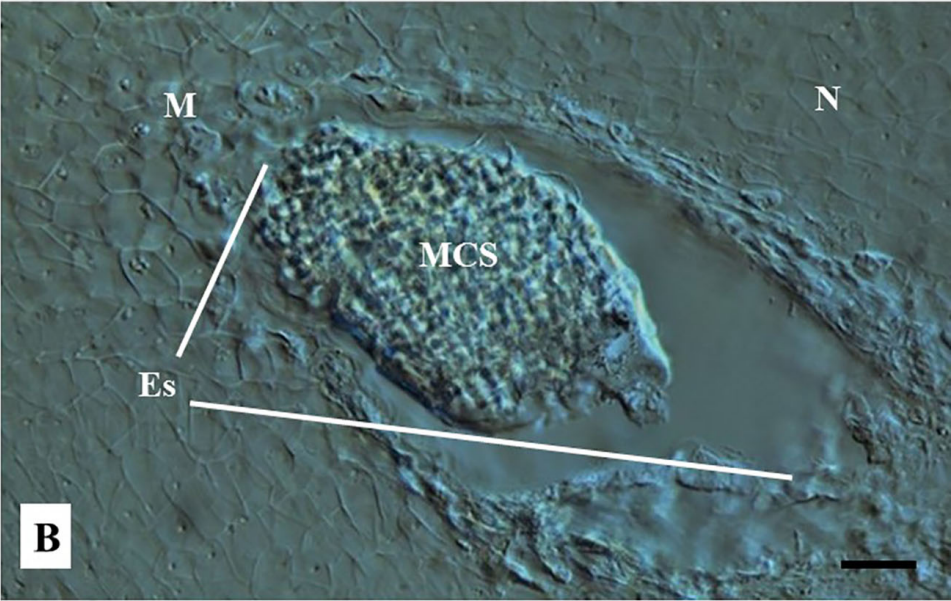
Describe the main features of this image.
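This is a longitudinal section through the nucellus of an ovule, with an elongated embryo sac cavity in the middle and a compact multicellular structure lying at its micropylar end. The surrounding nucellus is made of larger polygonal cells with thin, clearly outlined walls, arranged in a regular mosaic. Along the embryo sac wall the nucellar cells are flattened and stretched. The multicellular structure is an oval mass of many small, tightly packed rounded cells, much smaller than the nucellar cells, giving it a granular texture.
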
